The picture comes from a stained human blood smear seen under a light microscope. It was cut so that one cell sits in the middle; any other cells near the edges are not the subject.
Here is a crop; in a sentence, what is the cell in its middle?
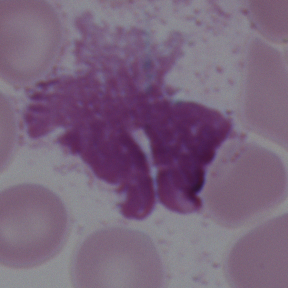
The cell at the middle of the frame should be recorded as a smudge cell.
